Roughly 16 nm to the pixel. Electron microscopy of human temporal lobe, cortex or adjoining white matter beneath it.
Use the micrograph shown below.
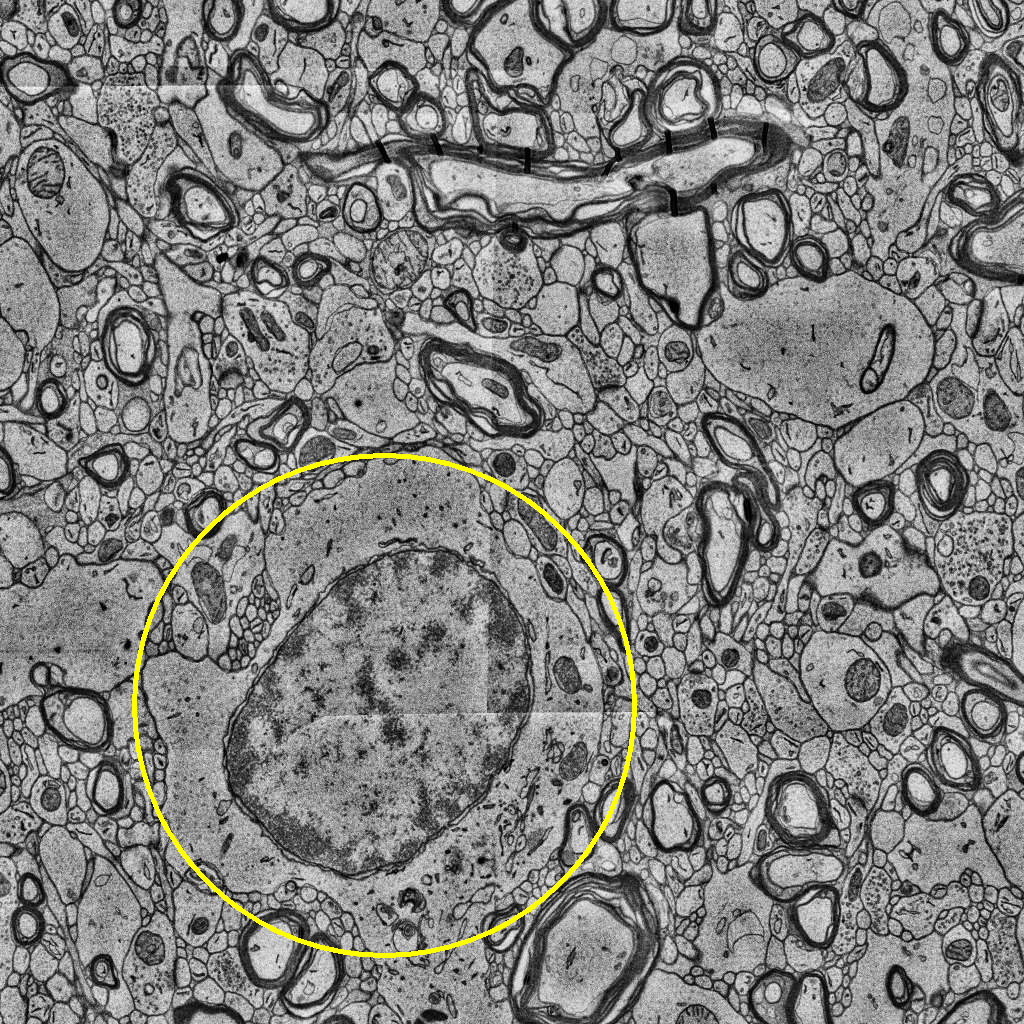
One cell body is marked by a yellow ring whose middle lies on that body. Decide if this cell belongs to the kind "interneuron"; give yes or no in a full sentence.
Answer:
No, the cell at the ring's middle in the micrograph is of another kind.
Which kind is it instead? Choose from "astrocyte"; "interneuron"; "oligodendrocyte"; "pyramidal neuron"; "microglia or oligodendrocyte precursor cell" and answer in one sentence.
The cell this ring marks is a microglial cell or oligodendrocyte precursor cell.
